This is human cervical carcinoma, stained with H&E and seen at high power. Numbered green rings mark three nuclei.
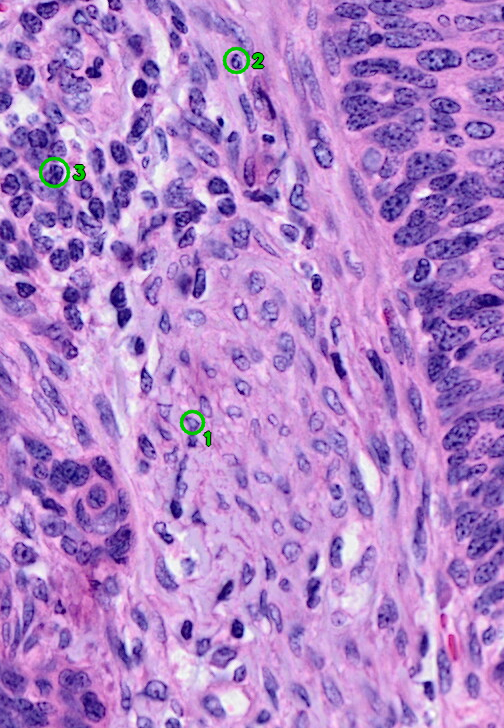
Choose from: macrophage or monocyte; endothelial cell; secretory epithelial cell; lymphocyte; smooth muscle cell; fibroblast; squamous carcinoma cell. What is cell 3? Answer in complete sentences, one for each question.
Regarding cell 3, this one is a lymphocyte.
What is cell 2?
Among the marked nuclei, number 2 belongs to a lymphocyte.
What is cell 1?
That cell with number 1 is a smooth muscle cell.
